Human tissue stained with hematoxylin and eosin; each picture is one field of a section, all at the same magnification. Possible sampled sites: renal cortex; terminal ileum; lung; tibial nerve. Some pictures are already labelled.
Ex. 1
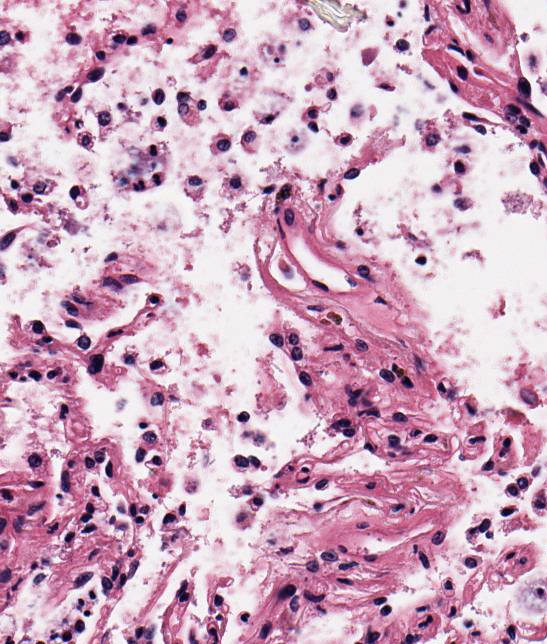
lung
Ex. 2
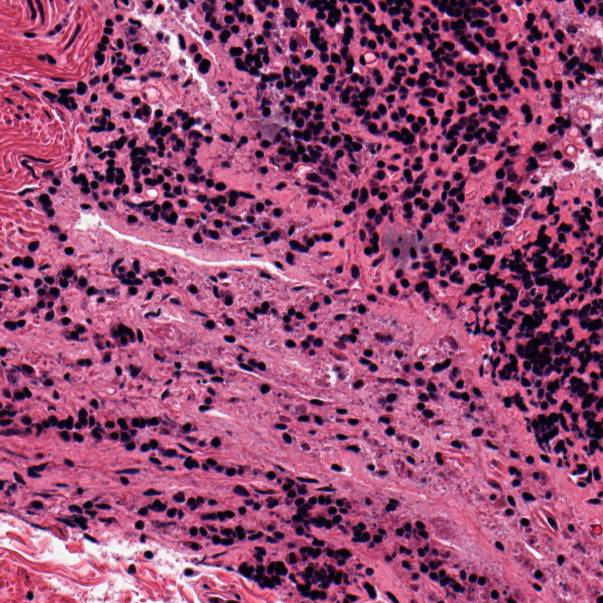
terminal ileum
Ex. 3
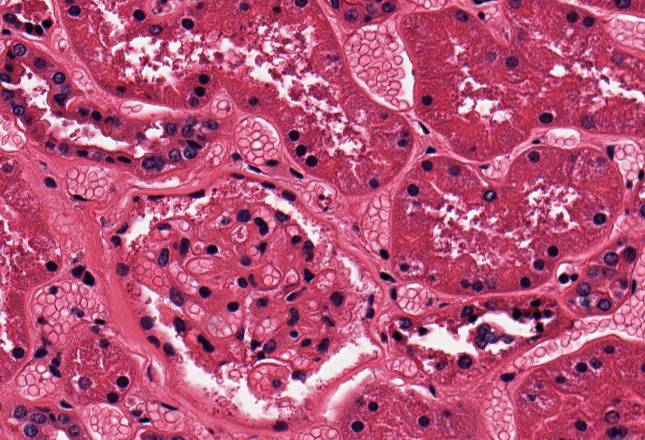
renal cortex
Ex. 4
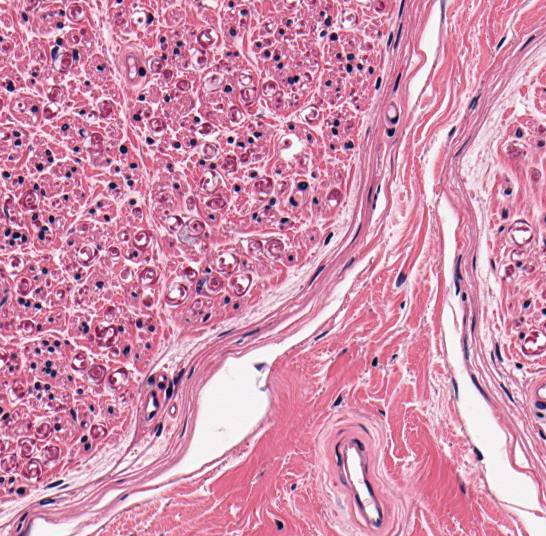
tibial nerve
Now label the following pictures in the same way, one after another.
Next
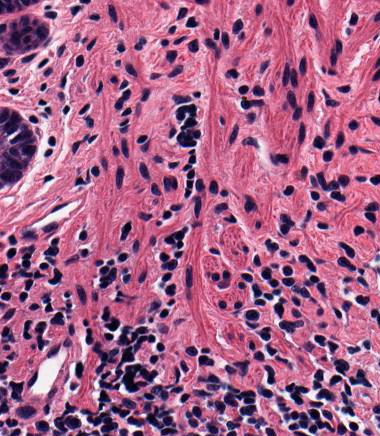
terminal ileum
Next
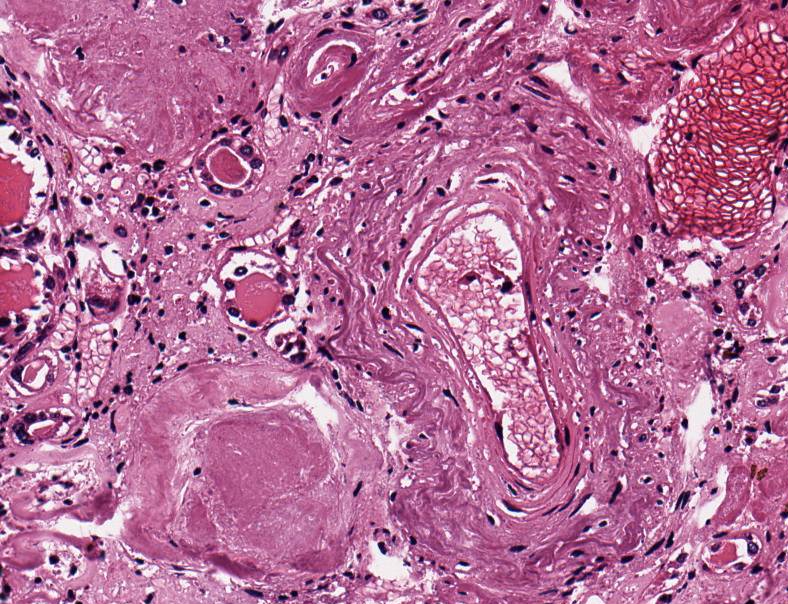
renal cortex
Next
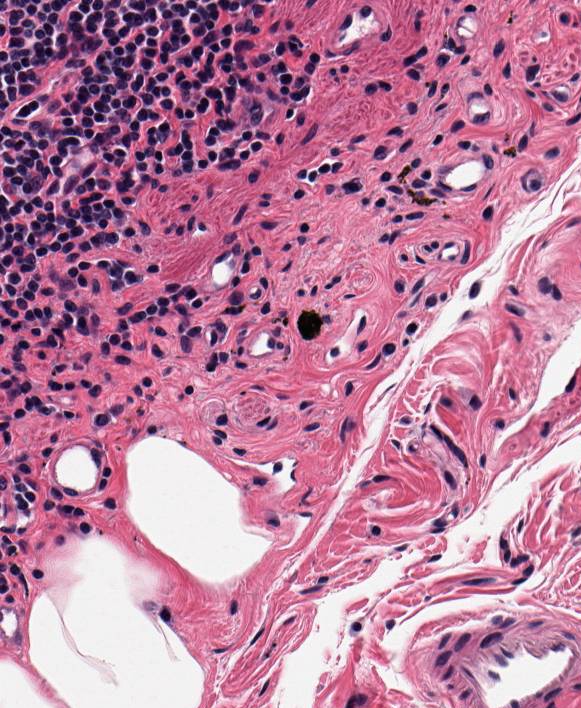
terminal ileum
